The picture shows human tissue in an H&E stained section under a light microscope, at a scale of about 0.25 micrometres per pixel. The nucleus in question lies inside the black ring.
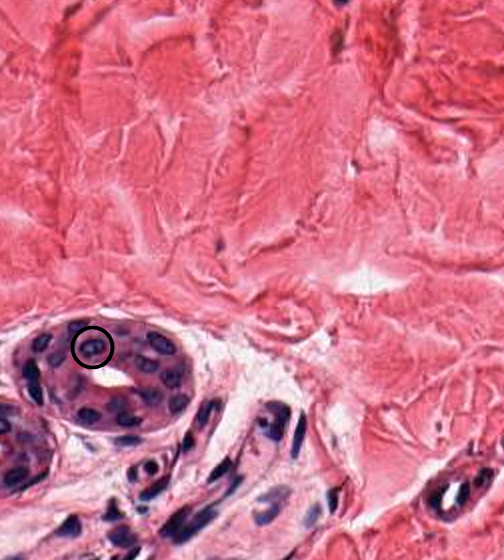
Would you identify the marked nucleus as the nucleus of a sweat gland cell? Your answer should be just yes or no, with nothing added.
yes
